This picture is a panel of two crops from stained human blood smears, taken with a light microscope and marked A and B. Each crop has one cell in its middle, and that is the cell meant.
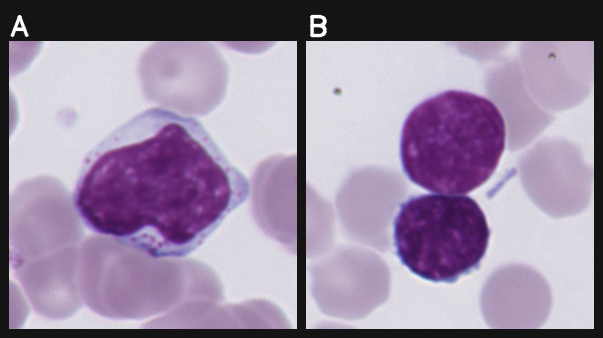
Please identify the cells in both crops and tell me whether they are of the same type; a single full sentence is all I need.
No, crop A shows a large granular lymphocyte and crop B shows a blast.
